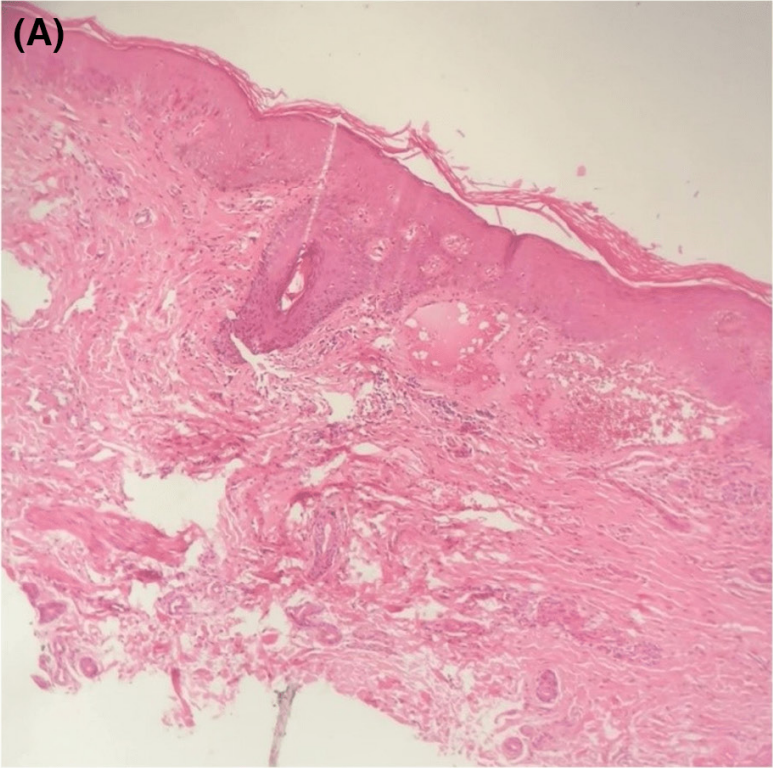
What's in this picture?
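Skin at lower magnification with a thickened squamous epidermis covered by loose layered keratin, and dilated thin-walled vessels filled with red blood cells in the papillary dermis just beneath it. A hair follicle extends down from the epidermis with a few dark nuclei of inflammatory cells nearby, and the deeper dermis shows loosely arranged pink collagen with small vessels.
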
